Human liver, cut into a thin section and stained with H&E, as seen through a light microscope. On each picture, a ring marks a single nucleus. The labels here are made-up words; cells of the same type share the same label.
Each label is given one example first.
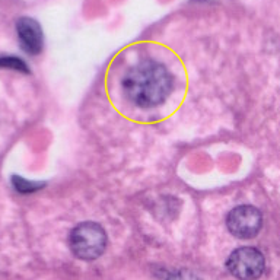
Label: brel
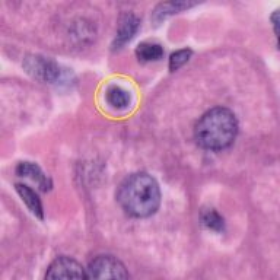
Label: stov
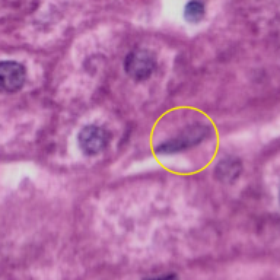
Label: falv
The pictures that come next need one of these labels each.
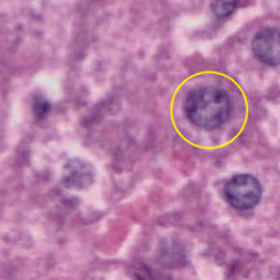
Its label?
brel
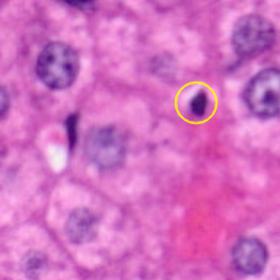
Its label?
stov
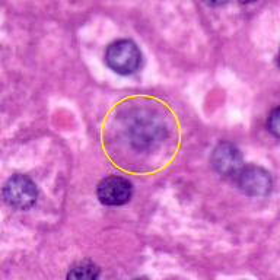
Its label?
brel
